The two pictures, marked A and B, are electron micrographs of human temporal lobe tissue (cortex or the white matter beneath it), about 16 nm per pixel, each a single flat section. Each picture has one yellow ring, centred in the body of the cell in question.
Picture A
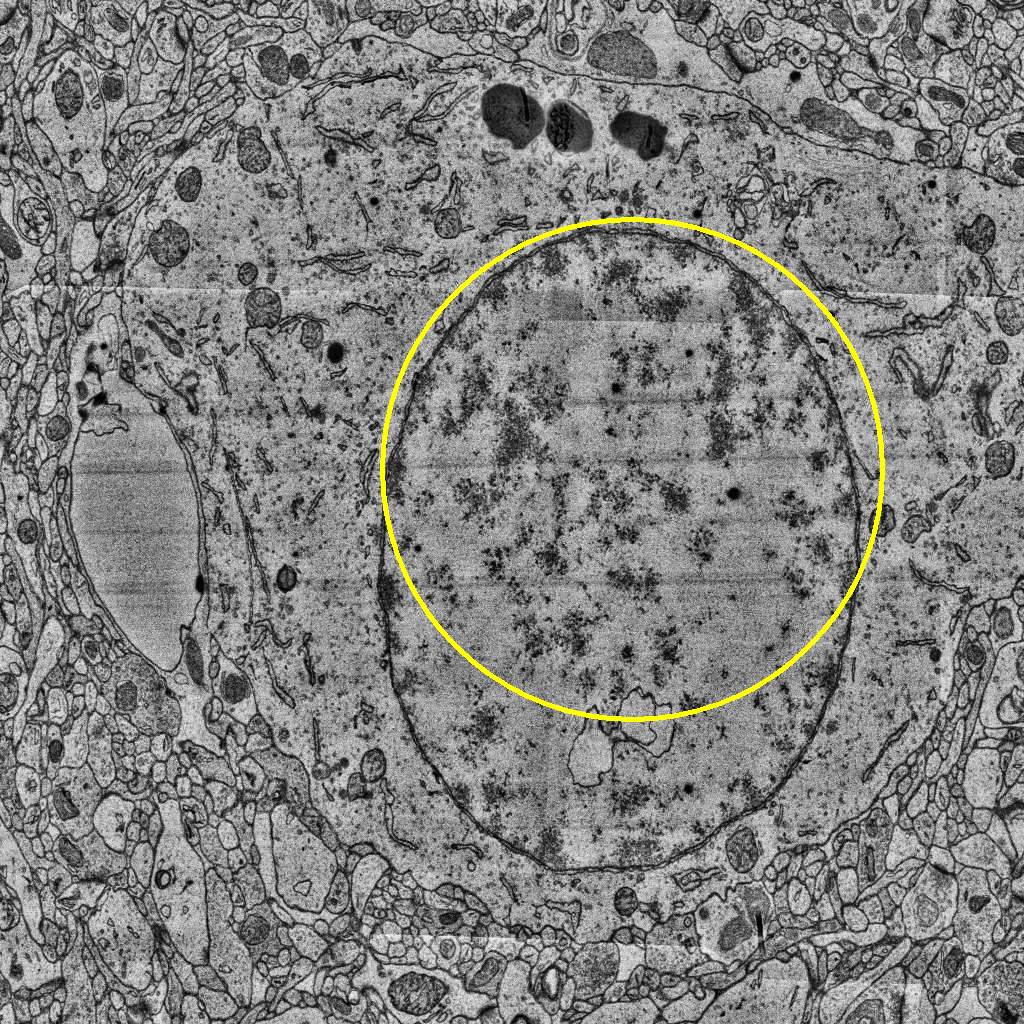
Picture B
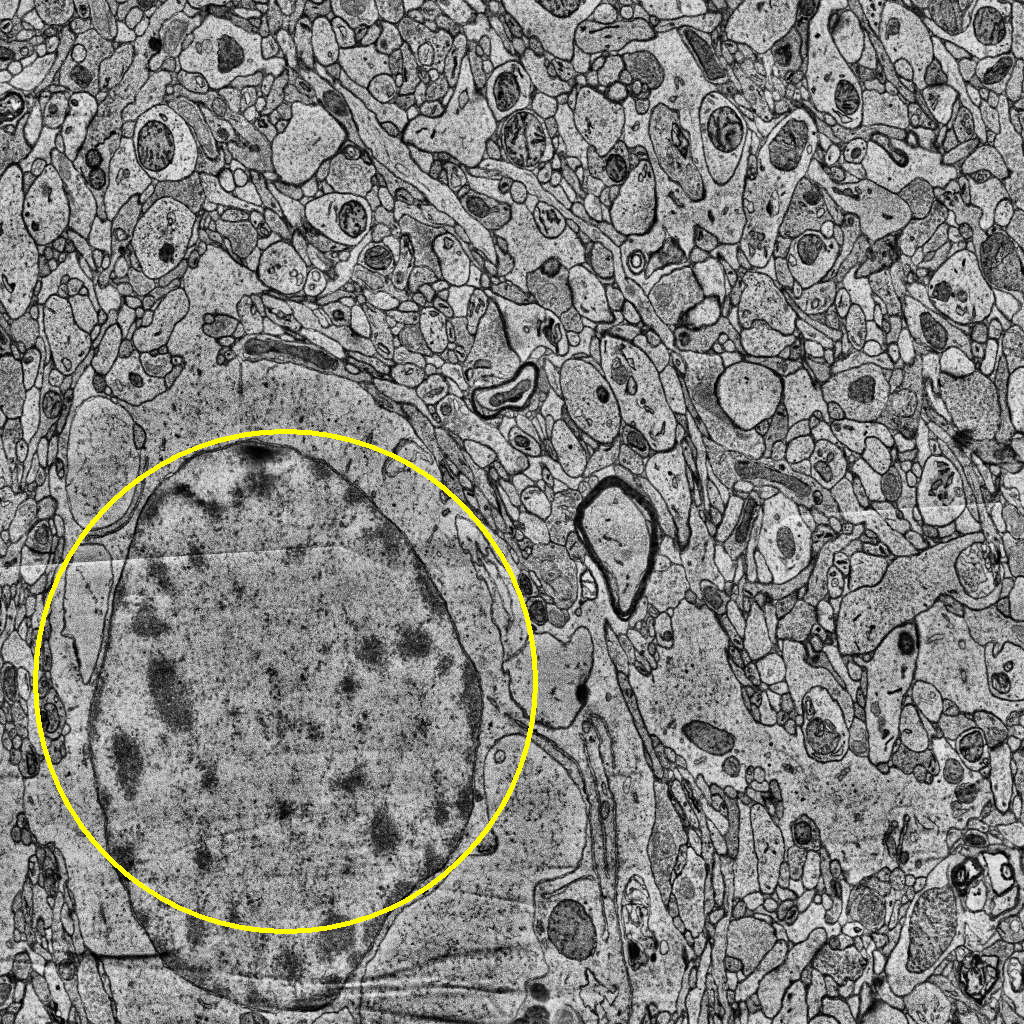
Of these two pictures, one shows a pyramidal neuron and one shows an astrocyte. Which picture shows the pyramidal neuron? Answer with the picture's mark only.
A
